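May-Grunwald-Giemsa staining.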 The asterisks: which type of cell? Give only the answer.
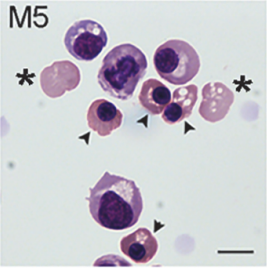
Reticulocyte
